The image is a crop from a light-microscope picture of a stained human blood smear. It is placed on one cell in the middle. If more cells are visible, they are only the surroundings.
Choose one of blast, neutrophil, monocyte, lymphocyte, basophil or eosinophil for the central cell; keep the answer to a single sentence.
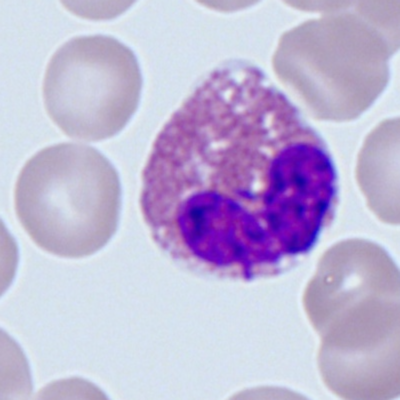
As for the cell in the middle, it is an eosinophil.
